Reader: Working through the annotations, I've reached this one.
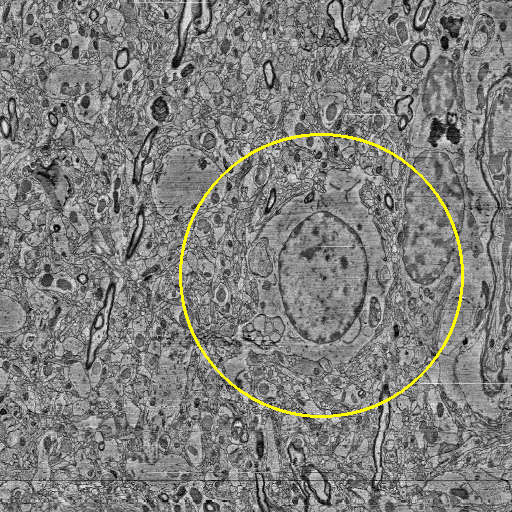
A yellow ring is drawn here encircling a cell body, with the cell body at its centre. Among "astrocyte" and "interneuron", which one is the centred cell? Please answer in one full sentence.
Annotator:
The cell body at the centre of the yellow ring in this image belongs to an astrocyte.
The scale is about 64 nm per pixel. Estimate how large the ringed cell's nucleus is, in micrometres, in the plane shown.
The nucleus is approximately 9 micrometres long but only about 6 wide, clearly longer than it is wide in this plane.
